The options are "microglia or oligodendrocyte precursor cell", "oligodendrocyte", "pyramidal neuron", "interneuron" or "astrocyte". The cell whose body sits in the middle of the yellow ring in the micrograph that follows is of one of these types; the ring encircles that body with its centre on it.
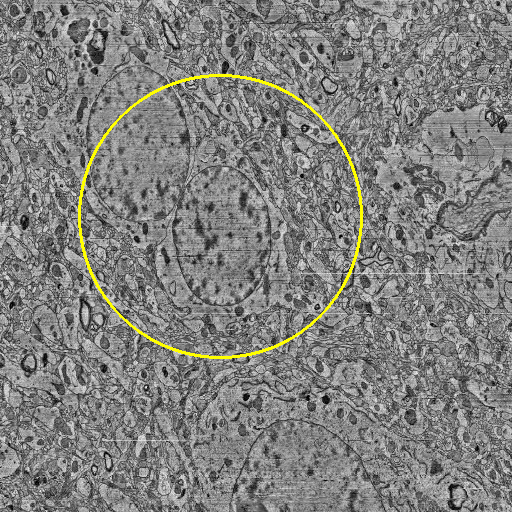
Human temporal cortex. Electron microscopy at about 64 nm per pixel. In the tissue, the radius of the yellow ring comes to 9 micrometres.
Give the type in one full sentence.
Going by the micrograph, the cell centred in the yellow ring is an astrocyte.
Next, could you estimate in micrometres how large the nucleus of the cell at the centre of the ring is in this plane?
In this plane the nucleus measures roughly 9 by 6 micrometres.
